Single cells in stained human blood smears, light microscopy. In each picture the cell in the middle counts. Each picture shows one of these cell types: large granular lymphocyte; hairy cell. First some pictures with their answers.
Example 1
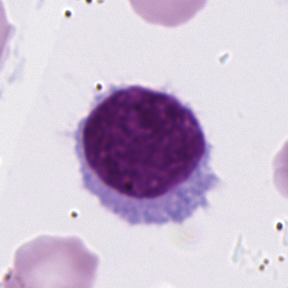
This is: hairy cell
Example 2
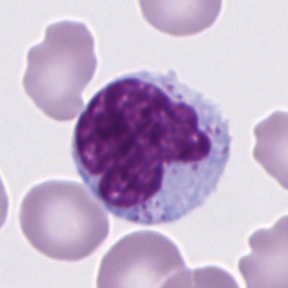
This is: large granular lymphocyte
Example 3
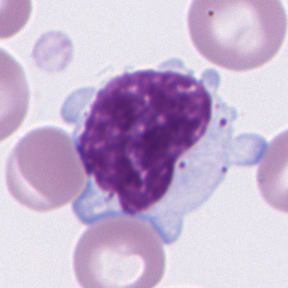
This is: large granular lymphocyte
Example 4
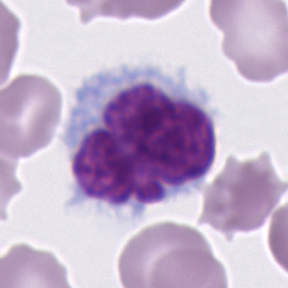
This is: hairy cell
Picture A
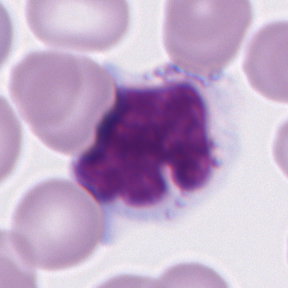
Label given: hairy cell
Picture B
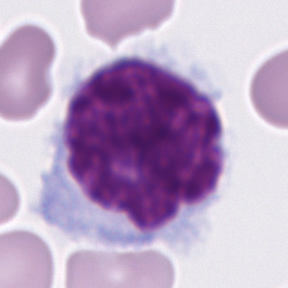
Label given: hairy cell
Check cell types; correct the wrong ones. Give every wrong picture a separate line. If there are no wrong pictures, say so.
A: large granular lymphocyte, not hairy cell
